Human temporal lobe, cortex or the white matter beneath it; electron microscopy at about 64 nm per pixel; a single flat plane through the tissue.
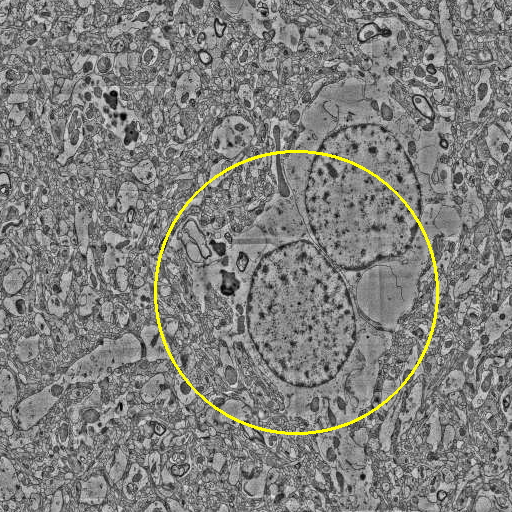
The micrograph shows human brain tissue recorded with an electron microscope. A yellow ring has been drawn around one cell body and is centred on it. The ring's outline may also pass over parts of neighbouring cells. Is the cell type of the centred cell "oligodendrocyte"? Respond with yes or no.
no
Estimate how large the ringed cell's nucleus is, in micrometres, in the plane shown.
The nucleus measures about 9 by 7 micrometres in this plane.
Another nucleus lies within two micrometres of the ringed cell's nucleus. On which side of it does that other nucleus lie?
The other one is above it.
